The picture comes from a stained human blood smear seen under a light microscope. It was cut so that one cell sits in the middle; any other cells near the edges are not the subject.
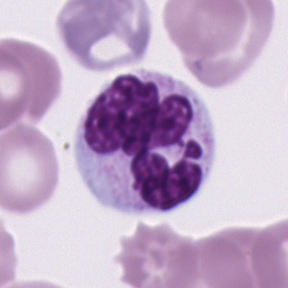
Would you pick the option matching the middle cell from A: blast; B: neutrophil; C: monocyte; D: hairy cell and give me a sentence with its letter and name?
Option B holds, for the cell in the middle is a neutrophil.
